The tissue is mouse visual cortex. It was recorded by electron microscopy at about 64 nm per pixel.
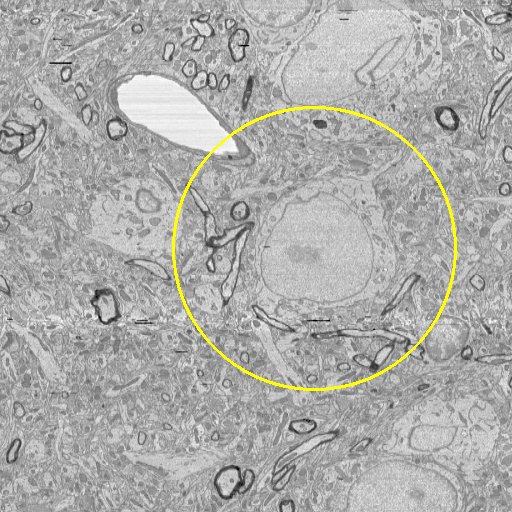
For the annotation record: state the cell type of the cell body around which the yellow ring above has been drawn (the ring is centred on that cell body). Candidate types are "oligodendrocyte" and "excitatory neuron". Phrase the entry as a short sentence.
The ringed cell is an excitatory neuron.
